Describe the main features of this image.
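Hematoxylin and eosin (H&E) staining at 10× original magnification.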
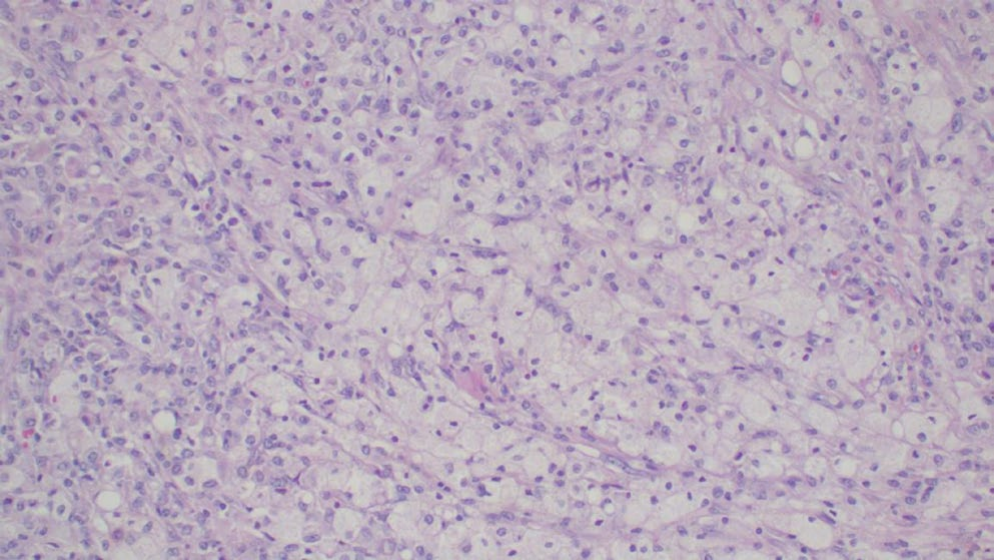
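The tissue is densely filled with foamy macrophages and histiocytes, mixed with lymphocytes. Most of the cells are large, with abundant pale, finely vacuolated cytoplasm and small round to oval nuclei, and some contain larger clear round vacuoles. Smaller cells with dark, compact nuclei are scattered among them, and thin pink fibrous strands with elongated spindle-shaped nuclei run obliquely across the field, dividing the cells into loose sheets.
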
